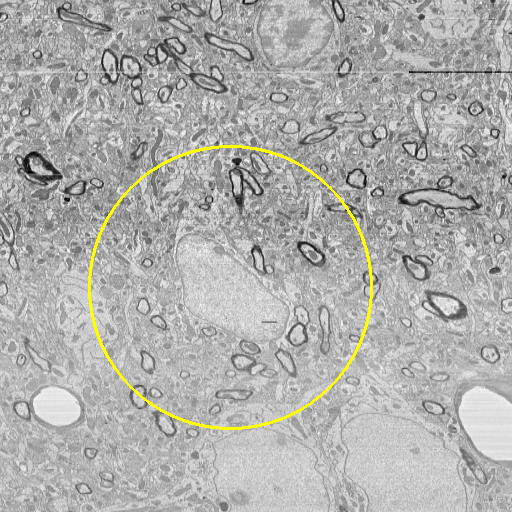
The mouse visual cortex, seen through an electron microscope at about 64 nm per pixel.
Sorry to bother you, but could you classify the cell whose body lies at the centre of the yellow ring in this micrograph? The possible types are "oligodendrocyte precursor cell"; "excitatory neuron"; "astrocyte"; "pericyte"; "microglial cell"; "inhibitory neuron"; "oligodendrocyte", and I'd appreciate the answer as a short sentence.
The ringed cell body is that of an astrocyte.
